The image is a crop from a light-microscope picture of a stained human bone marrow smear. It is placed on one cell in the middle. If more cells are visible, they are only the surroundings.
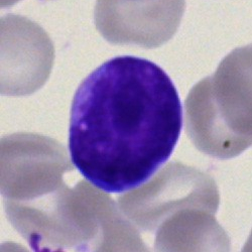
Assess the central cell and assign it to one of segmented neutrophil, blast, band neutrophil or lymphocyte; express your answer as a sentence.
As for the central cell, it is a blast.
